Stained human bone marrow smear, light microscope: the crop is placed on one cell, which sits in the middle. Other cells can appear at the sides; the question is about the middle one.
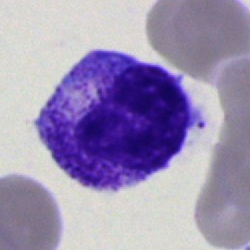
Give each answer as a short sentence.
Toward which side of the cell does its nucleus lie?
Seen from the middle of the cell, the nucleus lies toward the right.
